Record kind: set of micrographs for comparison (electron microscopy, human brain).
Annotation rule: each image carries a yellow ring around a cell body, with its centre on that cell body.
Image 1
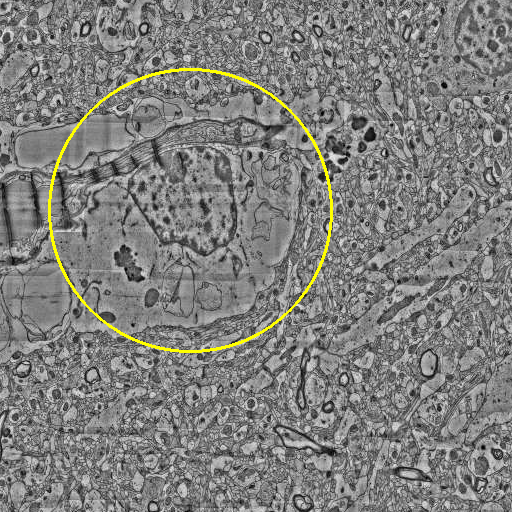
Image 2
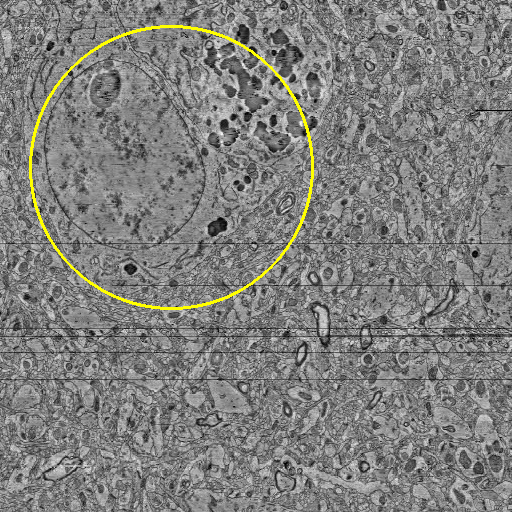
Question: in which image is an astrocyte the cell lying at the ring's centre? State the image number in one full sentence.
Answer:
In image 1, the ring is centred on the cell in question.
